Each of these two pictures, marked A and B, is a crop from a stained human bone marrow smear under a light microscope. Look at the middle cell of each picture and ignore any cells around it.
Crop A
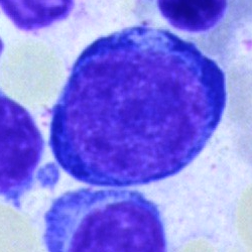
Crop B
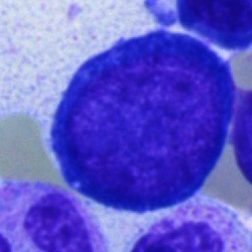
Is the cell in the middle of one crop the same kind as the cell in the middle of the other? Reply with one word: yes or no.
yes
